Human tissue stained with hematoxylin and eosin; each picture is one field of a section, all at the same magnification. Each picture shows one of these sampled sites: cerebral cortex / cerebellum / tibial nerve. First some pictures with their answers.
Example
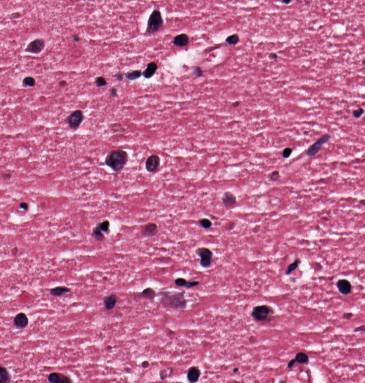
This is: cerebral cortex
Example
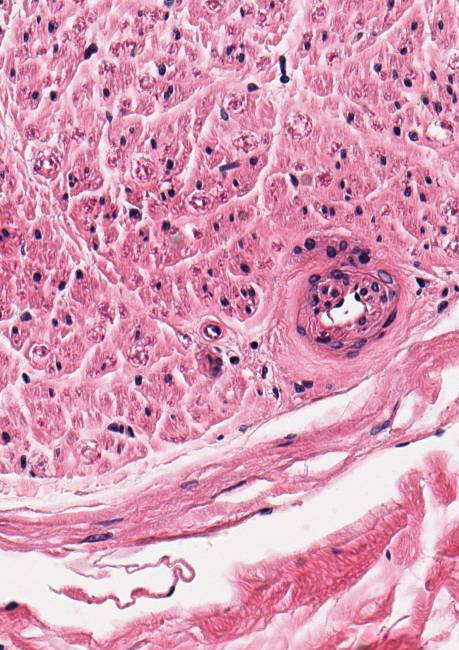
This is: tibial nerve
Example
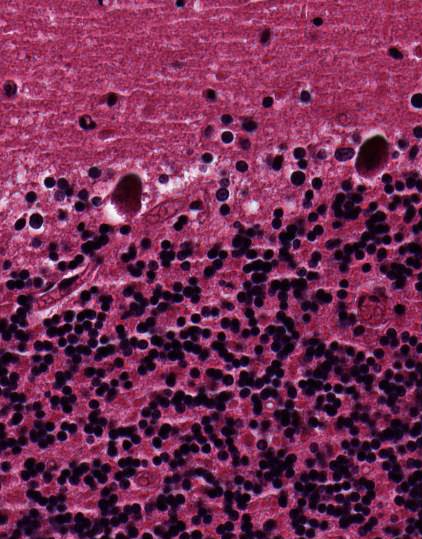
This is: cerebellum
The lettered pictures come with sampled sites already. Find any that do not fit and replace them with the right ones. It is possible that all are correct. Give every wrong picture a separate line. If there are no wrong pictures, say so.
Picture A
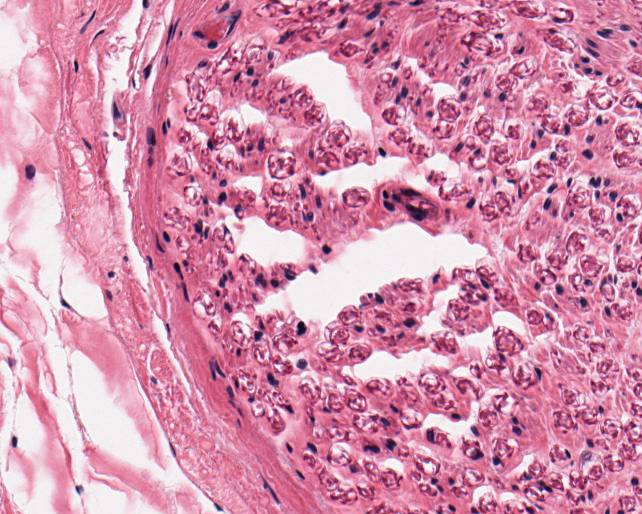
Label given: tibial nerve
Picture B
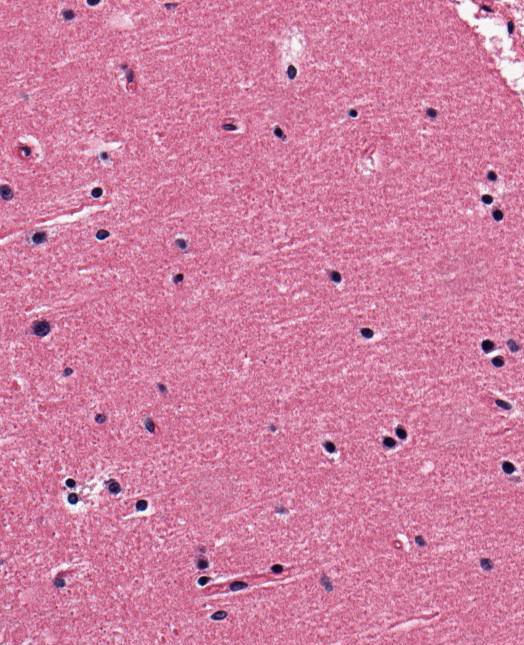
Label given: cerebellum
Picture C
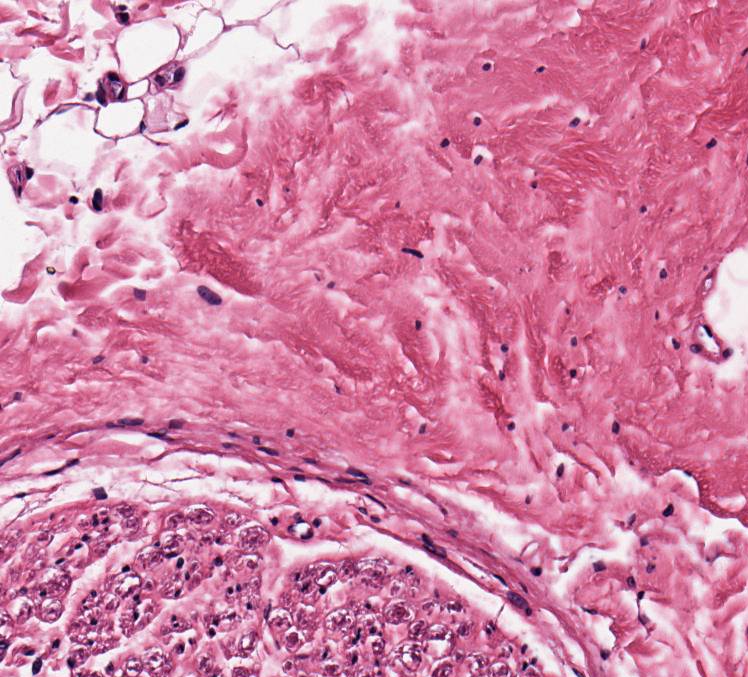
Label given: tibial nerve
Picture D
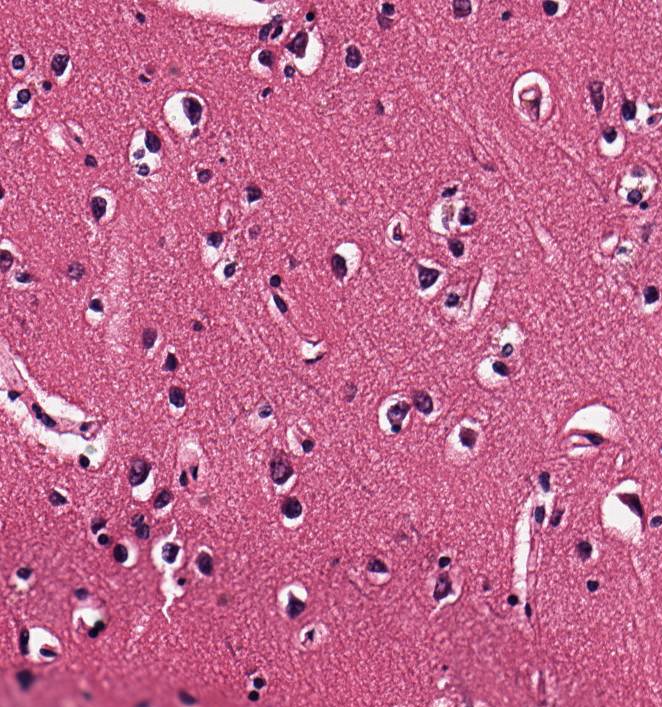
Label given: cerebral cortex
Nothing to fix; every label fits.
